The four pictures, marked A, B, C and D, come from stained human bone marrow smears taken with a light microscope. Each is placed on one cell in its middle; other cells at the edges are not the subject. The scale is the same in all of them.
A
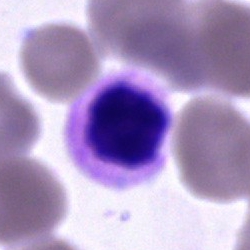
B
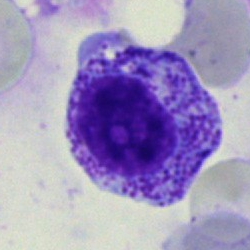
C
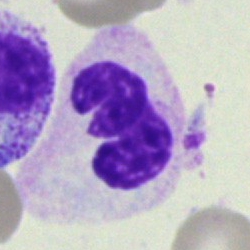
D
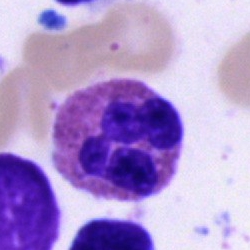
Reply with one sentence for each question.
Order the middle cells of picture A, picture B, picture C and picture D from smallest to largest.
Smallest first: A, D, B, C.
